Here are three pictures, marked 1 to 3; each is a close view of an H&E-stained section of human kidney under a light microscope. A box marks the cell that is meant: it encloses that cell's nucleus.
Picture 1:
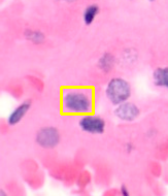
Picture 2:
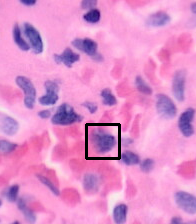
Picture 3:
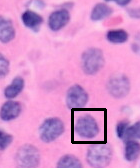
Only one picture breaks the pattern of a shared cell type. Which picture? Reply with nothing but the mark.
2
